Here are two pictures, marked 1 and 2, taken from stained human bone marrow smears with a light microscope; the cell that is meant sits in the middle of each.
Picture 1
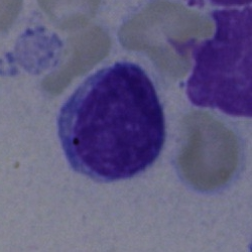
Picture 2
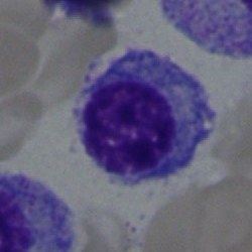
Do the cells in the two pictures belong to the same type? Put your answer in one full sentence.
No, picture 1 shows a lymphocyte and picture 2 shows a plasma cell.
